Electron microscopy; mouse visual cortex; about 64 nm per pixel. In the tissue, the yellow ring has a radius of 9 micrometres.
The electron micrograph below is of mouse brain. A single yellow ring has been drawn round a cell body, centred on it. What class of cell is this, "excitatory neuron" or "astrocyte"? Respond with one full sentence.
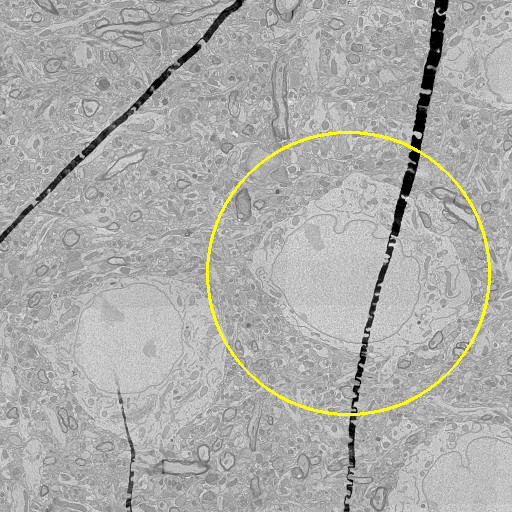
In the micrograph, the cell centred inside the yellow ring is an excitatory neuron.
